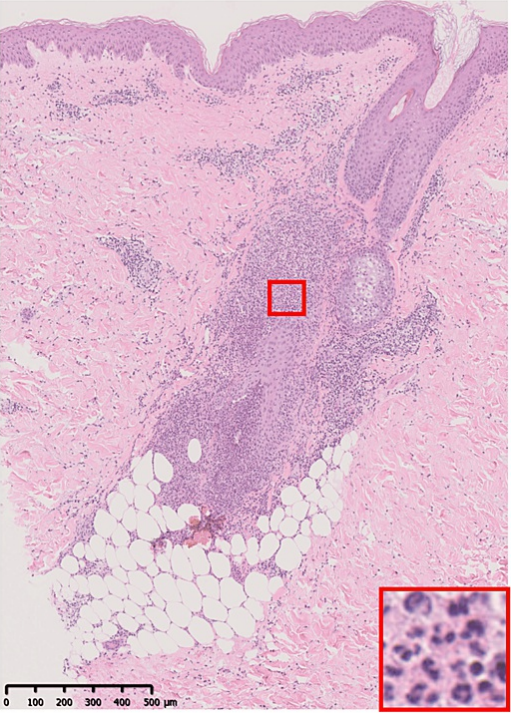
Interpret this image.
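This section of skin shows a dense inflammatory cell infiltrate, dark purple at low power, wrapped around a hair follicle and extending from the upper dermis down to the subcutaneous fat, with smaller cuffs of cells around vessels in the upper dermis. The overlying epidermis is intact, and the pink collagen of the dermis surrounds the infiltrate. At high magnification most of the infiltrating cells are neutrophils with segmented, multilobed dark nuclei.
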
